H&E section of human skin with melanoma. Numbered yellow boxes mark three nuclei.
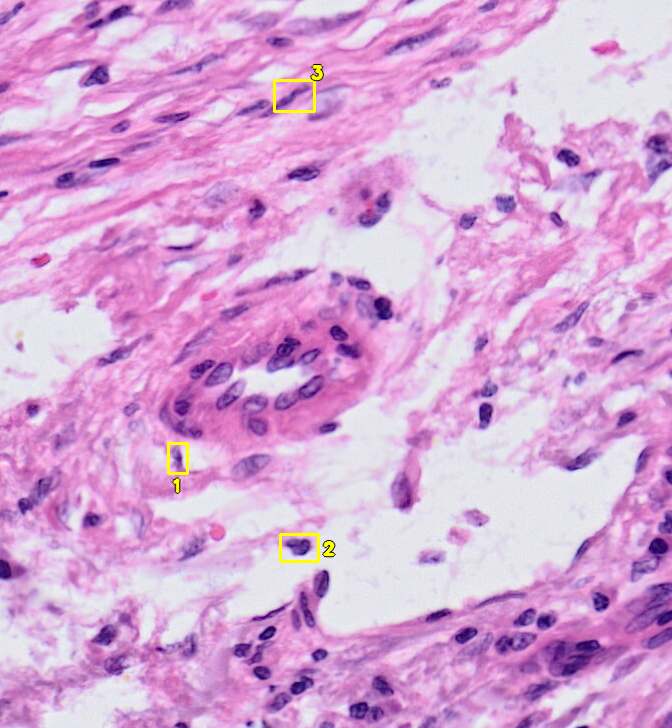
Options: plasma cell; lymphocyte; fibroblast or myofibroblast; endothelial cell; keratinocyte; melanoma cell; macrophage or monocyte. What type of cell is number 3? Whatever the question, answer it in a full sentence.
The cell tagged with 3 in this tissue section is a fibroblast or myofibroblast.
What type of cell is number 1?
The cell with the number 1 is a fibroblast or myofibroblast.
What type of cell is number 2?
Heads up, the cell numbered 2 is a lymphocyte.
